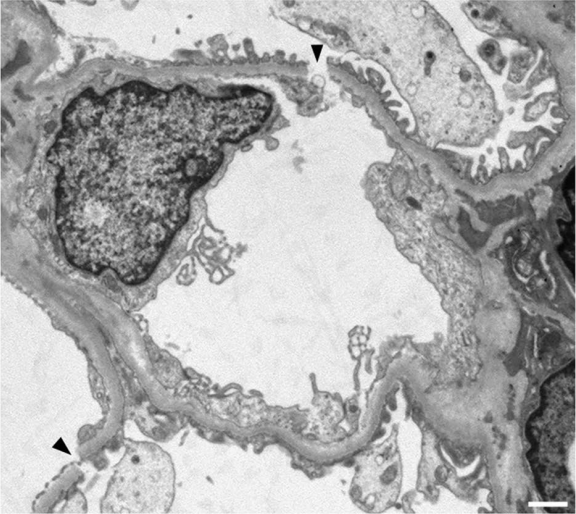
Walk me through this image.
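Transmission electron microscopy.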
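This electron micrograph shows a glomerular capillary loop, with an endothelial cell nucleus with dense chromatin at the left and a wide empty lumen. A thick grey basement membrane runs around the loop, covered on its outer side by the small processes of overlying cells. At the marked points the basement membrane is broken through, rather than running continuous as it normally would.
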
